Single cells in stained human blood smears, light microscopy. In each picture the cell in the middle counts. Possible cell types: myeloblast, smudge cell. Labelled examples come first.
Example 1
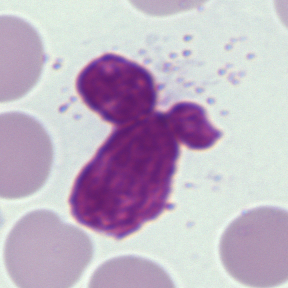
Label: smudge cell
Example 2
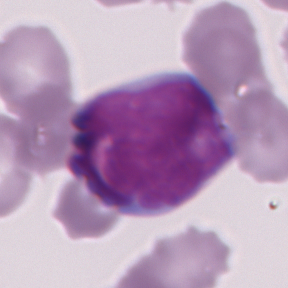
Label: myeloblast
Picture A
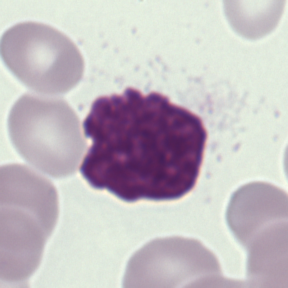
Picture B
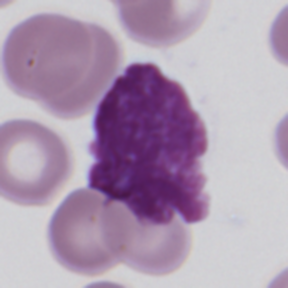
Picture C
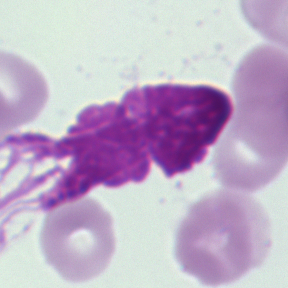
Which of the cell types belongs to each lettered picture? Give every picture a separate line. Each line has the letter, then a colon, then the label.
A: smudge cell
B: smudge cell
C: smudge cell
